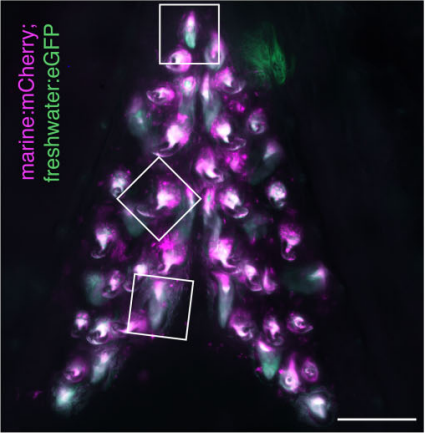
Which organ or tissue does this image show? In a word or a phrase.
Tooth plates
